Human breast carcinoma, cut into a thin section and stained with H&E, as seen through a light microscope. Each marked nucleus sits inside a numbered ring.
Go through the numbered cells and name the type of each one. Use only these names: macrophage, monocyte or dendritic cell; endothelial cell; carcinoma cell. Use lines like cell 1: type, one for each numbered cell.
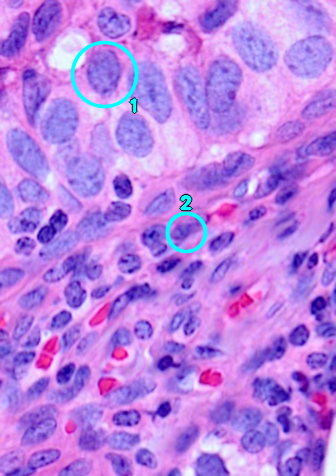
cell 1: carcinoma cell
cell 2: endothelial cell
